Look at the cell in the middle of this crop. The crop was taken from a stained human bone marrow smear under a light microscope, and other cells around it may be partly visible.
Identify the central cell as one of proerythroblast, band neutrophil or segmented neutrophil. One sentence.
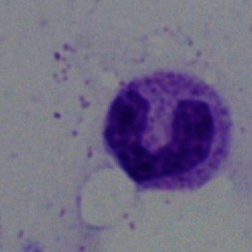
The cell in the exact centre of the crop is a band neutrophil.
